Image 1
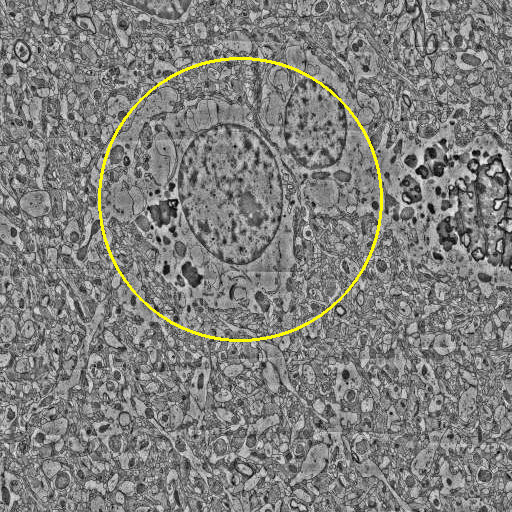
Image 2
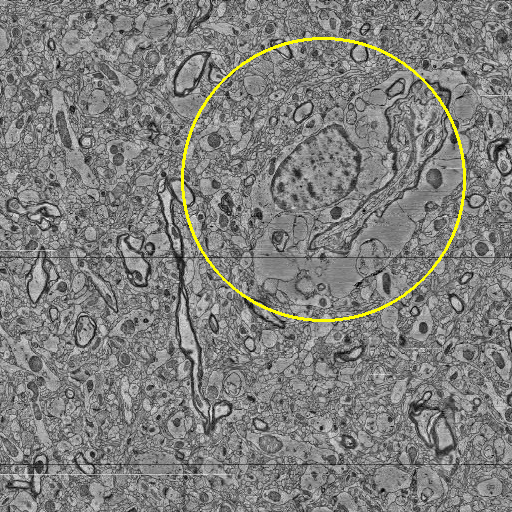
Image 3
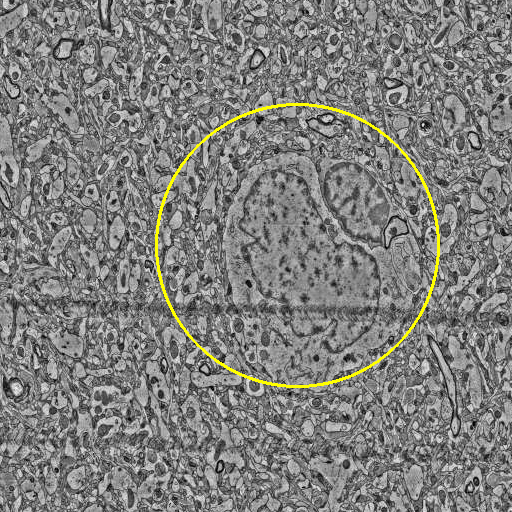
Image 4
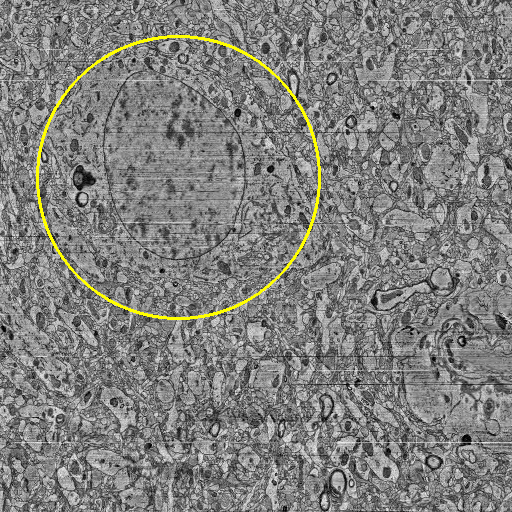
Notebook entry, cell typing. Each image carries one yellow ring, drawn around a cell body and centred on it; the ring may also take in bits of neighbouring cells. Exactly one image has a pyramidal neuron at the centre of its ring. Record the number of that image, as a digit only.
4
